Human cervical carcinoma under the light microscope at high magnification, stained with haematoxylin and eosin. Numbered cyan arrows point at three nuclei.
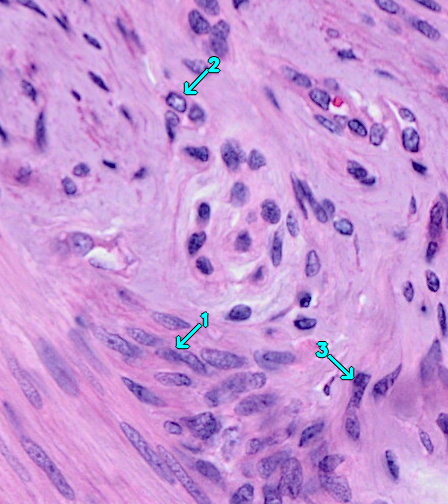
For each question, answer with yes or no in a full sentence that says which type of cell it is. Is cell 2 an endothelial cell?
Yes, the marked cell with number 2 is an endothelial cell.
